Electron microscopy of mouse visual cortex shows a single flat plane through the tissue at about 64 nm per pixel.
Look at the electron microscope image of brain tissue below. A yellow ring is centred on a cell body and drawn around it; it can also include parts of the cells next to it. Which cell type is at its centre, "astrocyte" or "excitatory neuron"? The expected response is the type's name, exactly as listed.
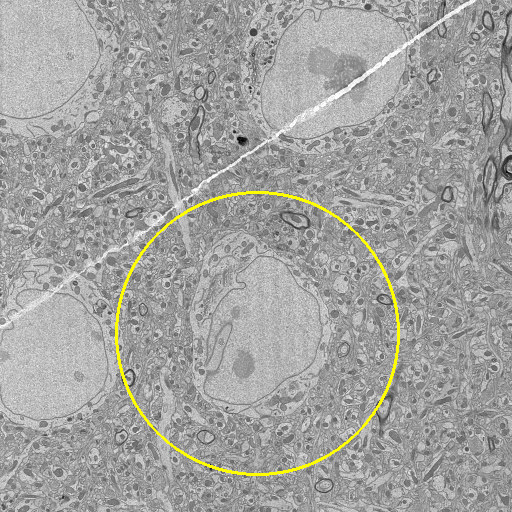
excitatory neuron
